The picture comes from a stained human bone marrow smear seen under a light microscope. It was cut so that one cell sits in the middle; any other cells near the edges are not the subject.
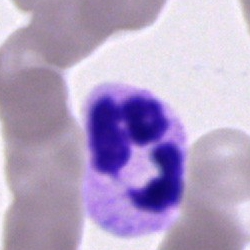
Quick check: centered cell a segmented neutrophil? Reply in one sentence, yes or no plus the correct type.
Yes, the cell that the crop is centered on is a segmented neutrophil.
